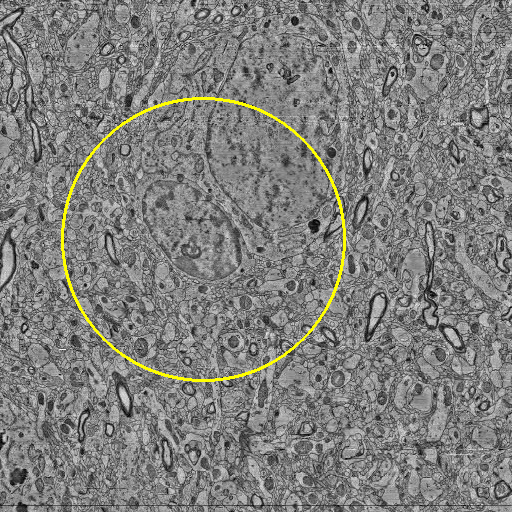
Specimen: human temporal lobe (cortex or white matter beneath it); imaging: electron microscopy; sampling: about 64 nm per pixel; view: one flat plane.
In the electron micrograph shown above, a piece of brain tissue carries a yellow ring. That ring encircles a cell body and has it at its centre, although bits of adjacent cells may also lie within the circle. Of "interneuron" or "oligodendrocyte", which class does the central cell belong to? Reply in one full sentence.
The cell body at the centre of the yellow ring belongs to an oligodendrocyte.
